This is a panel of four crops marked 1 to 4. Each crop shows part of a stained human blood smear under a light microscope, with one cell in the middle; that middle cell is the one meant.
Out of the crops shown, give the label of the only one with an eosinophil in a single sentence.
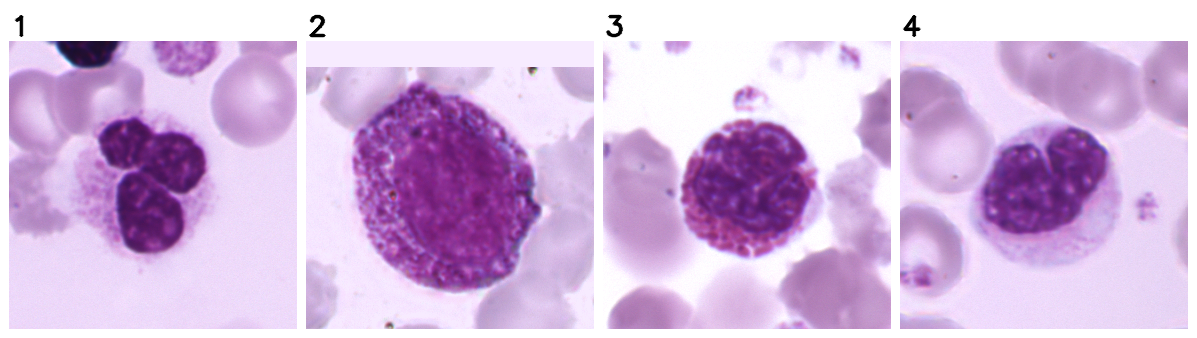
Crop 3 is the one in this set that shows an eosinophil.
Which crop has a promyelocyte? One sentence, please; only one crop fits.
Only in crop 2 is a promyelocyte shown.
